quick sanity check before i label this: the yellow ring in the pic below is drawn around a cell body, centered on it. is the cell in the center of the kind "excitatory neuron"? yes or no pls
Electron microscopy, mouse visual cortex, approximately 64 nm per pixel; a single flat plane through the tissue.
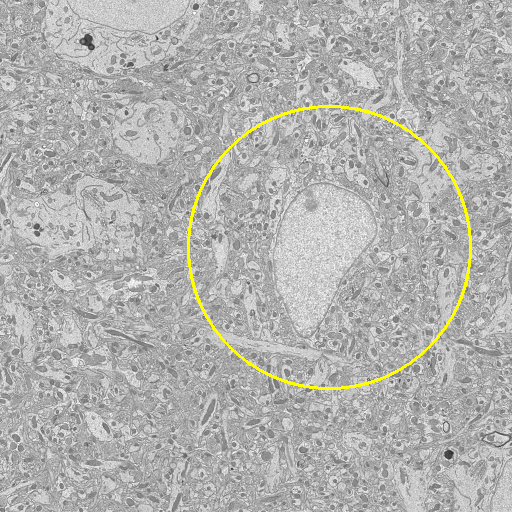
no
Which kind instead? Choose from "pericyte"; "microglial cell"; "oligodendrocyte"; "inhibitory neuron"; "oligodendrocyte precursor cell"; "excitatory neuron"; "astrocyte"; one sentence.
The cell ringed in the picture is an astrocyte.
